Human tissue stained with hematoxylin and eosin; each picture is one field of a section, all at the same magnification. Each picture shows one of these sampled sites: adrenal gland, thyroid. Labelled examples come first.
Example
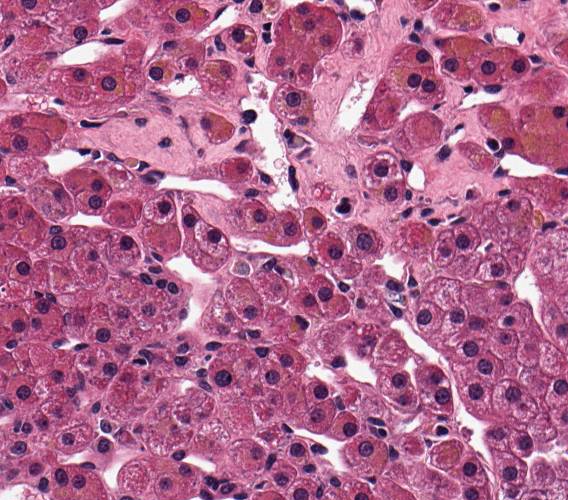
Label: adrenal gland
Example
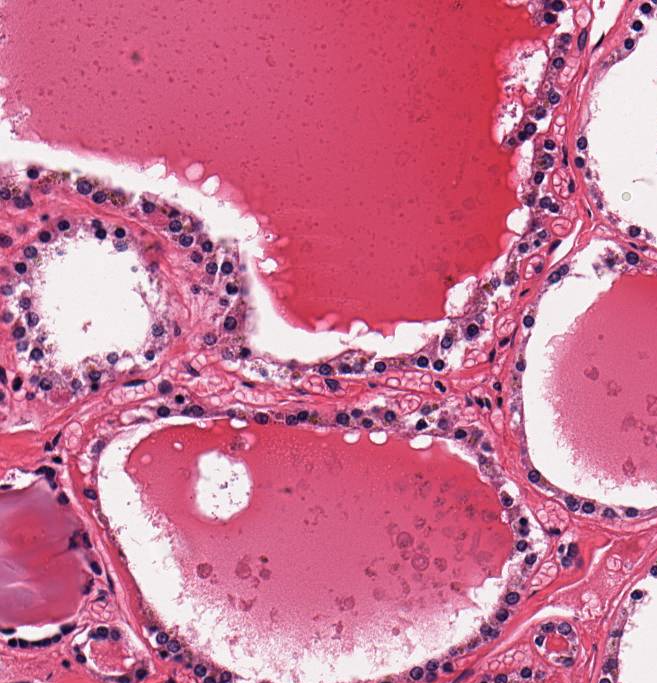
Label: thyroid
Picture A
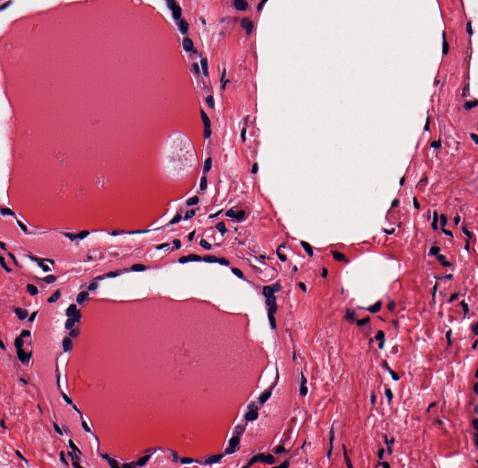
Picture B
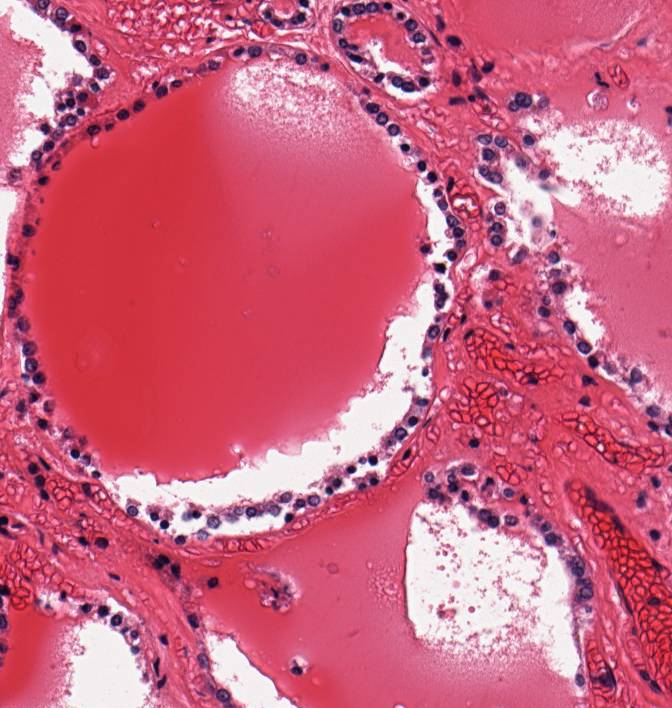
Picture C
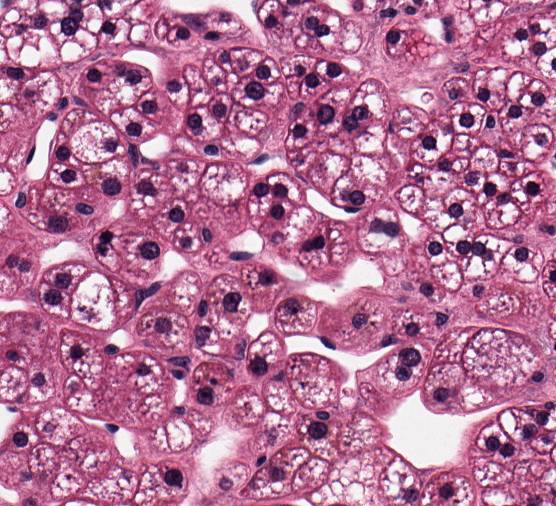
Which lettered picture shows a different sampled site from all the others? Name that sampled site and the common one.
C differs and shows adrenal gland; the others show thyroid.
